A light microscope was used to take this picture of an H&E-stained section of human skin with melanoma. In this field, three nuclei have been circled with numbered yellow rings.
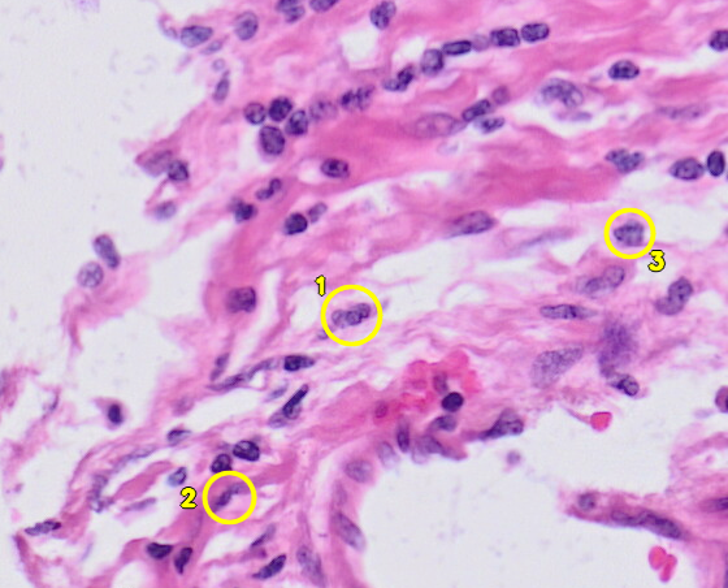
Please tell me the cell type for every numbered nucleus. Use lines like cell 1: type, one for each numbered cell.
cell 1: macrophage or monocyte
cell 2: fibroblast or myofibroblast
cell 3: lymphocyte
